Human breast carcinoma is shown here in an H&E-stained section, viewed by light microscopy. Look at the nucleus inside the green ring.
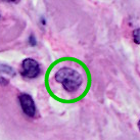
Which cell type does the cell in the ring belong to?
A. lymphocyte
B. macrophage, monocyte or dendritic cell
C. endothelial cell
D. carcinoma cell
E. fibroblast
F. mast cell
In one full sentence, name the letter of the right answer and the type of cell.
Of all the options, B is right, since the cell in the ring is a macrophage, monocyte or dendritic cell.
